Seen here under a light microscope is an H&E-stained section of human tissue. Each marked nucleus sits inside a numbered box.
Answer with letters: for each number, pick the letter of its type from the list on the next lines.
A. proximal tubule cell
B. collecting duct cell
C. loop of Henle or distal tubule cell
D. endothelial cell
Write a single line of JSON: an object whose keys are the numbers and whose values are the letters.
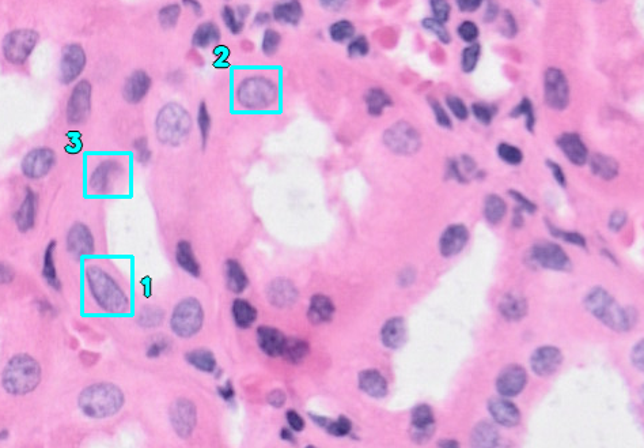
{"1": "B", "2": "A", "3": "B"}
